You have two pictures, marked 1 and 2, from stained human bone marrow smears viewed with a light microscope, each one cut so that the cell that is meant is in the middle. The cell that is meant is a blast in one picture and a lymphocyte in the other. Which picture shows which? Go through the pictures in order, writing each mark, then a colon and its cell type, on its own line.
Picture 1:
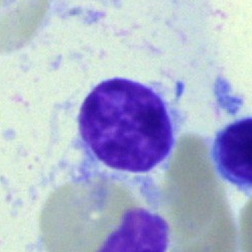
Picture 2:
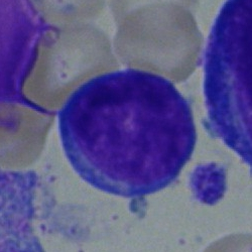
1: lymphocyte
2: blast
